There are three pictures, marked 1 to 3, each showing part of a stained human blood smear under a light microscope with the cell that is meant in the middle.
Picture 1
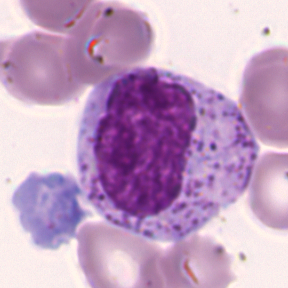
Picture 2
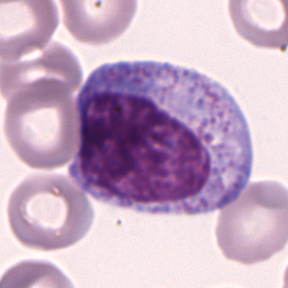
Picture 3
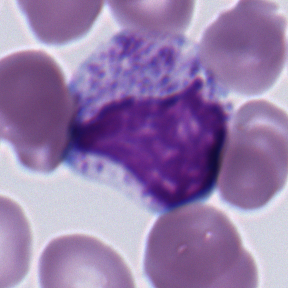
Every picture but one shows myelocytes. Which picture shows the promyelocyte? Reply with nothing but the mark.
2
